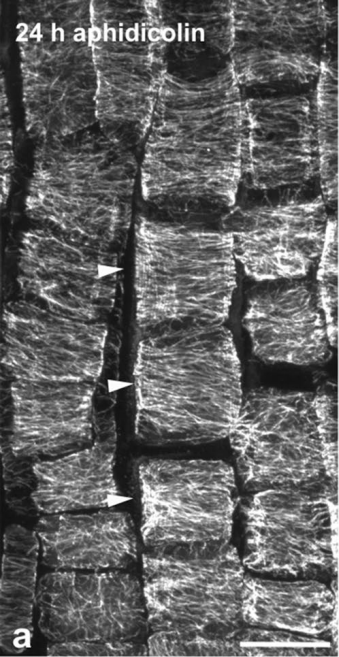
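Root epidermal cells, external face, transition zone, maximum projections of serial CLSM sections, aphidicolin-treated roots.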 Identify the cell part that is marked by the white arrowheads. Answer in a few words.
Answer: microtubules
